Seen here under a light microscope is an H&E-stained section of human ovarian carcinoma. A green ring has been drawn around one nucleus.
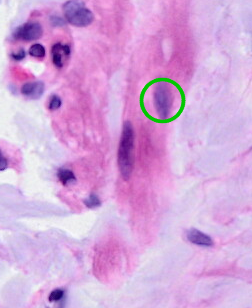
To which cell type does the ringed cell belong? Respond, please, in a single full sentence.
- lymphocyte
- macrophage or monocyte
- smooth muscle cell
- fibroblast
Students should answer that the ringed cell is a smooth muscle cell.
